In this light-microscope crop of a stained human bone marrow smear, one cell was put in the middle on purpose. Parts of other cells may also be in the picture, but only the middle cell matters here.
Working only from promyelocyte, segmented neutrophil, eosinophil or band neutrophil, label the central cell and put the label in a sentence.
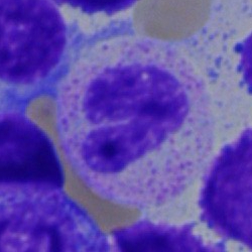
The crop shows a band neutrophil in its centre.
